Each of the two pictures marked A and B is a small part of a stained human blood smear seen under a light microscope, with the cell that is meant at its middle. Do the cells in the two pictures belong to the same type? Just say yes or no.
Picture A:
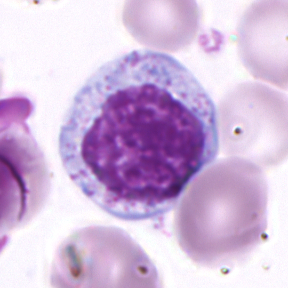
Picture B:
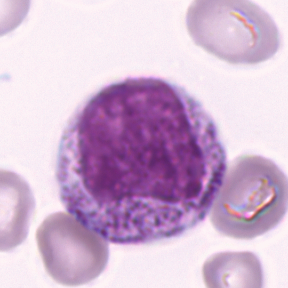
yes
